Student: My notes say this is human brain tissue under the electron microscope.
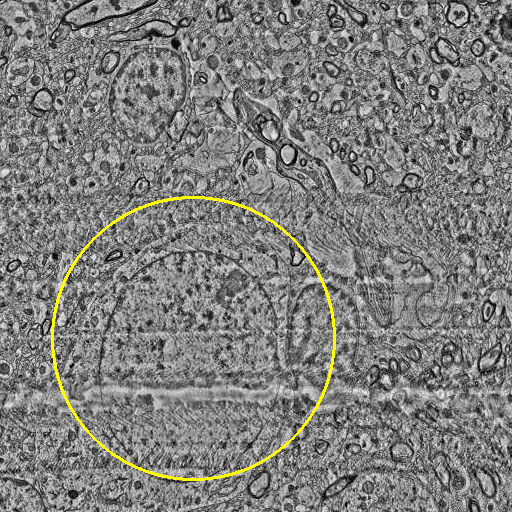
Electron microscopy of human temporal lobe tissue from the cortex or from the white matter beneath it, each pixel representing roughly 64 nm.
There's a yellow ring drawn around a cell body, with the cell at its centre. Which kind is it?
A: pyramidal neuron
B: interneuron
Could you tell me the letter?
A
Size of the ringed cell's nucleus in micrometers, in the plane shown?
About 15 by 12 micrometers, in this plane.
